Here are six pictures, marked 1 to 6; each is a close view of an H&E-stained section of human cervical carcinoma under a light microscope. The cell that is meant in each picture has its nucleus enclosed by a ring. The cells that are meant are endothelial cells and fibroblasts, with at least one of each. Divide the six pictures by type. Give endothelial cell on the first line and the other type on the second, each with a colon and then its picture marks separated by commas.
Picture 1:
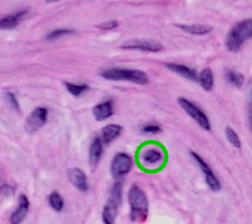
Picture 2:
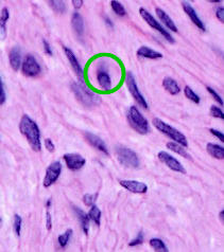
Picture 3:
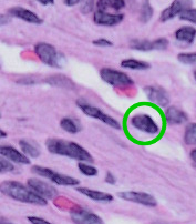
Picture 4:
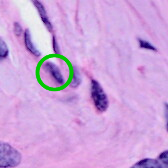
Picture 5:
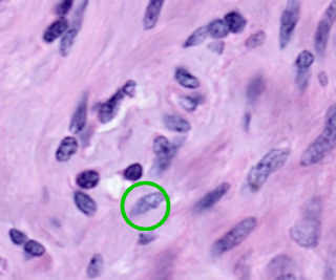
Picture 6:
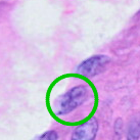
endothelial cell: 3, 4, 6
fibroblast: 1, 2, 5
